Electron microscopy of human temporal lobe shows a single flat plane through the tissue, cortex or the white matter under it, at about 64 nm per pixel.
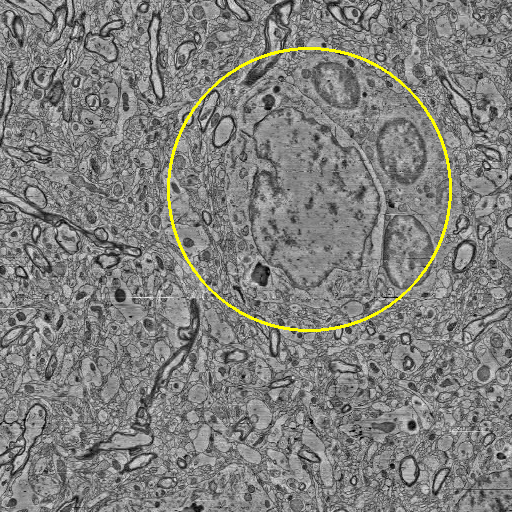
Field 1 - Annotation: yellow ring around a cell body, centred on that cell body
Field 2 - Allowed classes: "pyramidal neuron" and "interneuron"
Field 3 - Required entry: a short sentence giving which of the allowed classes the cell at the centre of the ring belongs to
The centred cell is an interneuron.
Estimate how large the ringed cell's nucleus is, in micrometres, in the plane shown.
The nucleus is approximately 12 micrometers long by 8 micrometers wide in this plane.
